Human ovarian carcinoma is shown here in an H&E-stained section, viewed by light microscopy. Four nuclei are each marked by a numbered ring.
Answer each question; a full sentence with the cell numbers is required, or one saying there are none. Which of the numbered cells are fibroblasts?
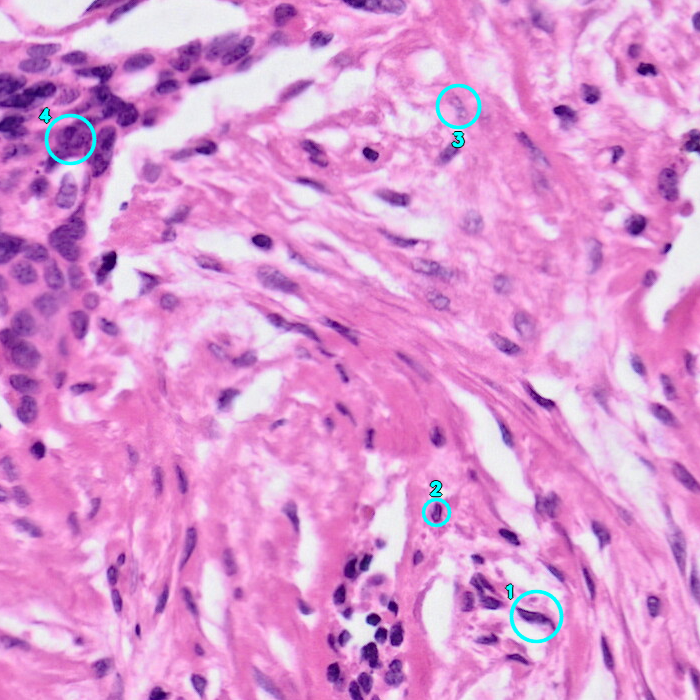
The cells assigned the numbers 1, 2 and 3 are fibroblasts.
